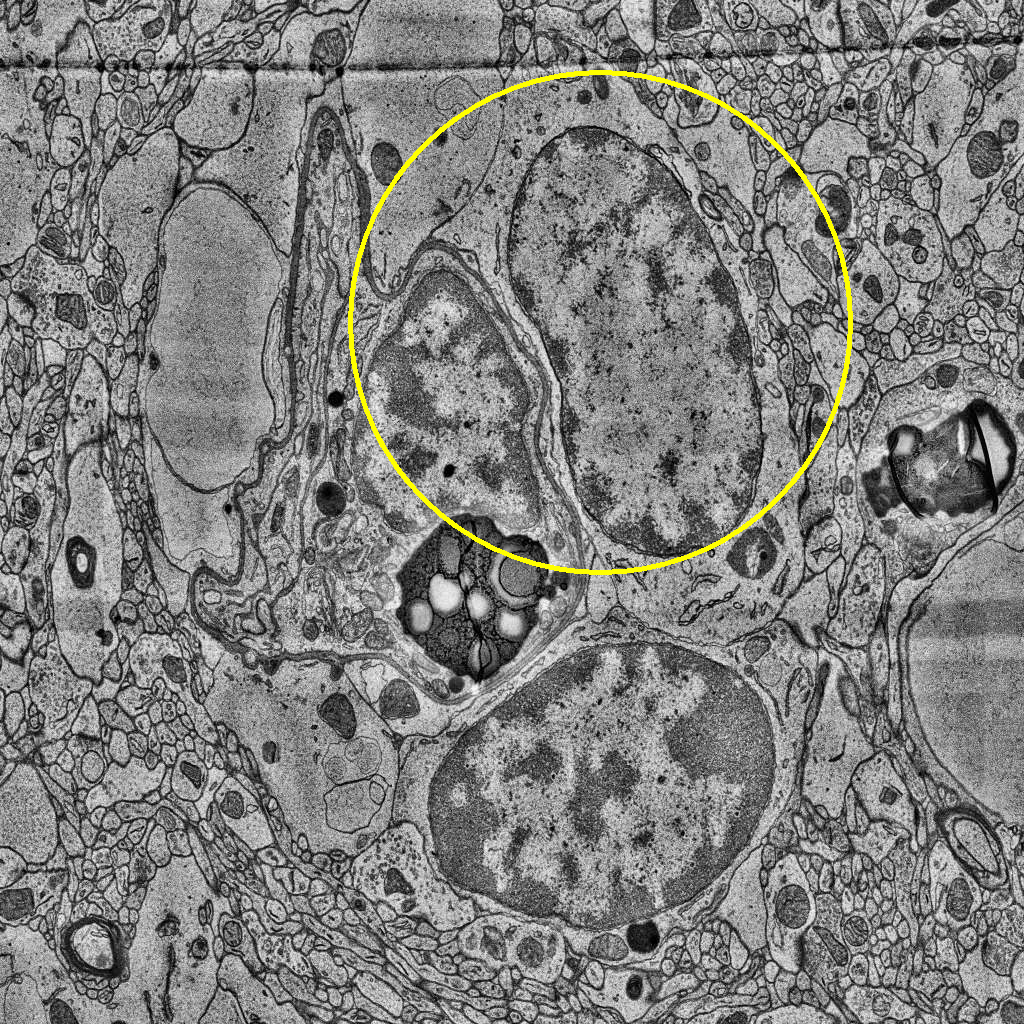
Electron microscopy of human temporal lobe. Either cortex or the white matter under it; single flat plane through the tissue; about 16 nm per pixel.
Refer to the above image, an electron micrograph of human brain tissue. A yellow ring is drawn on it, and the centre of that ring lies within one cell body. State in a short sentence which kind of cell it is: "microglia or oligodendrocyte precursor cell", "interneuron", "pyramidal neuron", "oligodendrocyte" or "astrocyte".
The centre of the ring falls on a microglial cell or oligodendrocyte precursor cell.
